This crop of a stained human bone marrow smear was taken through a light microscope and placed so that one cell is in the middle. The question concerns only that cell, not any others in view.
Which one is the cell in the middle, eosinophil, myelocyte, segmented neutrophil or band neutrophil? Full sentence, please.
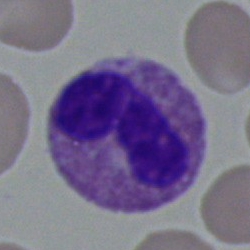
What sits at the centre of this crop is an eosinophil.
